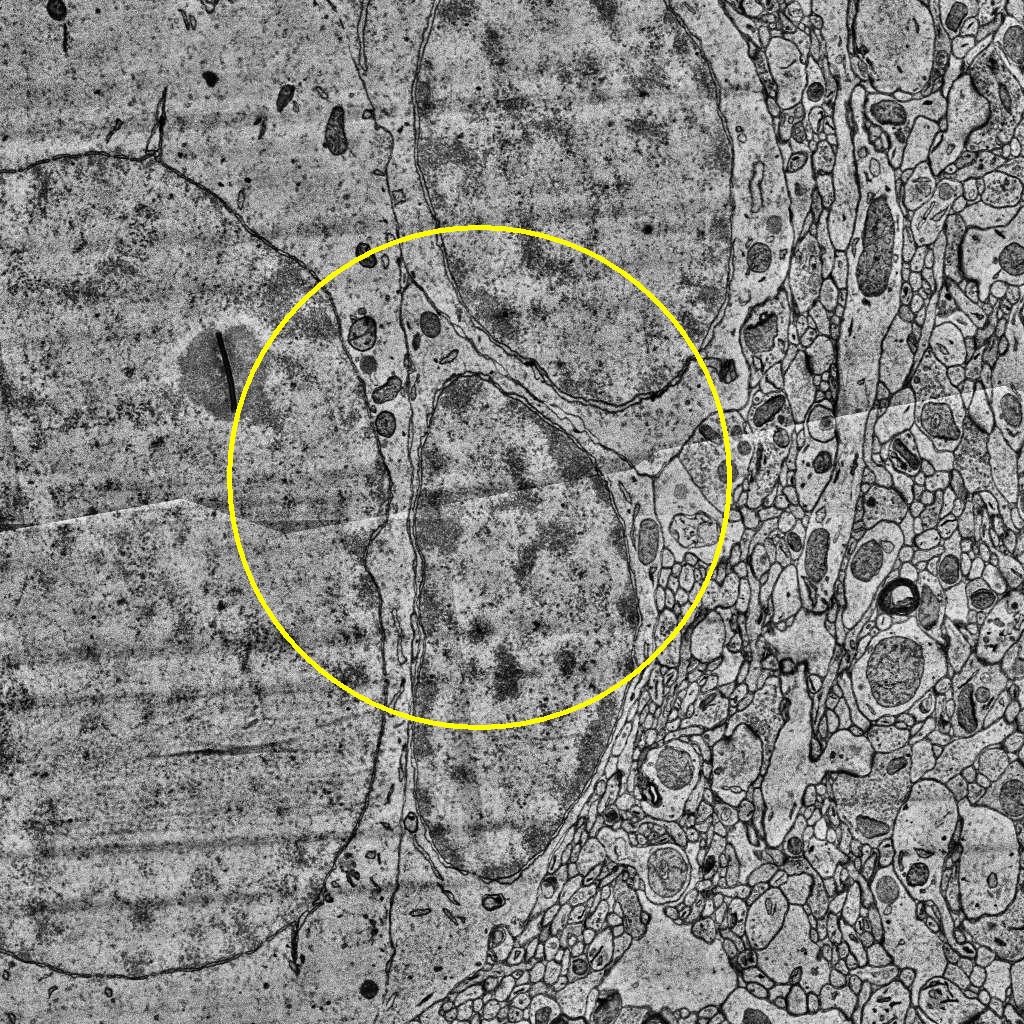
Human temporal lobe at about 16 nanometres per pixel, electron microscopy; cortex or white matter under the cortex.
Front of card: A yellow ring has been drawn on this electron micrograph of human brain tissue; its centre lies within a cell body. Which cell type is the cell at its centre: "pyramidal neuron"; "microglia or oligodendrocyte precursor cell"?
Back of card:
microglia or oligodendrocyte precursor cell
